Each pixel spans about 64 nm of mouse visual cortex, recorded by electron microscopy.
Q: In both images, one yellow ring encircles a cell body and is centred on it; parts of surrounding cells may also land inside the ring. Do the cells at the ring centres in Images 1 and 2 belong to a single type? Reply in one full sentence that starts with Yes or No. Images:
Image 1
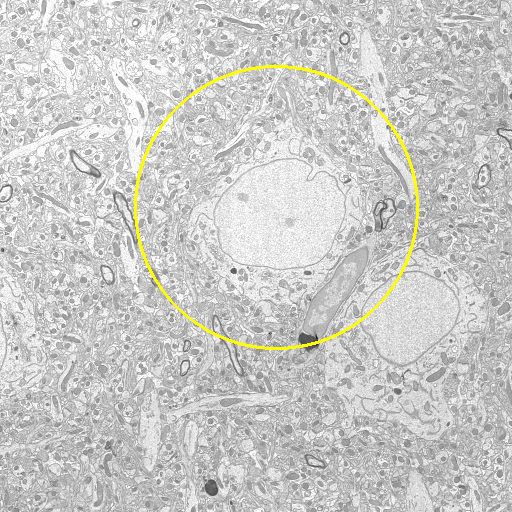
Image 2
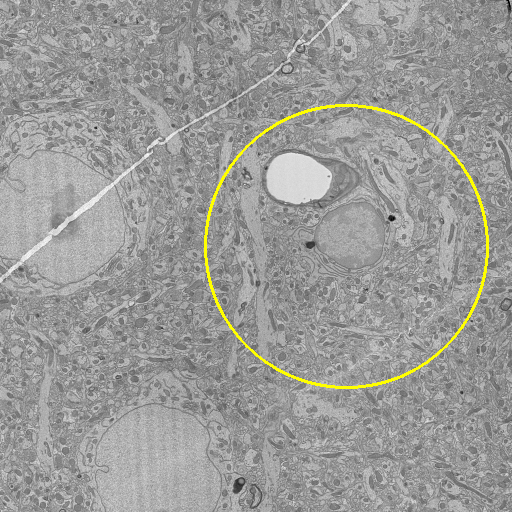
No, the cells at the ring centres in Images 1 and 2 are of two types.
